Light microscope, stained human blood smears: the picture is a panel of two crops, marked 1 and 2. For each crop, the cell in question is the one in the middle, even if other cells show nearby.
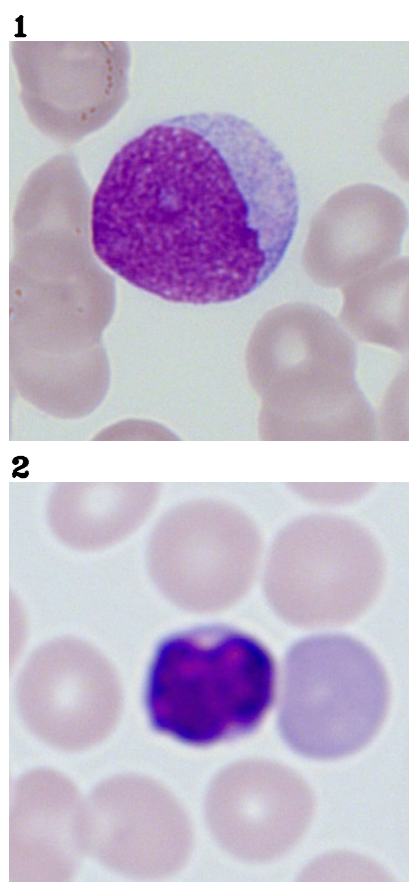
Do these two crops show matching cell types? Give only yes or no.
no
